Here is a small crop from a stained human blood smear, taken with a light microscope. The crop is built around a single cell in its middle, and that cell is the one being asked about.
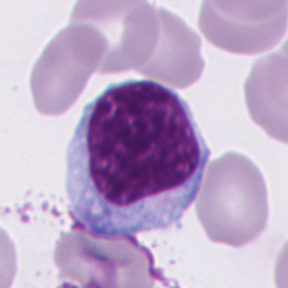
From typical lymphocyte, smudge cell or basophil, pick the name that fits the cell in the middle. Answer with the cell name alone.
typical lymphocyte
